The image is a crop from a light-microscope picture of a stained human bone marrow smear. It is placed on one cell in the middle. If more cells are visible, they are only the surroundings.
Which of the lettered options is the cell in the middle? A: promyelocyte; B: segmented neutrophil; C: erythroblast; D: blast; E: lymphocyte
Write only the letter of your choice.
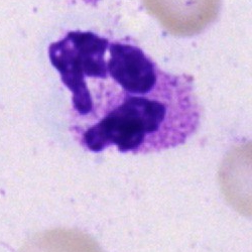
B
